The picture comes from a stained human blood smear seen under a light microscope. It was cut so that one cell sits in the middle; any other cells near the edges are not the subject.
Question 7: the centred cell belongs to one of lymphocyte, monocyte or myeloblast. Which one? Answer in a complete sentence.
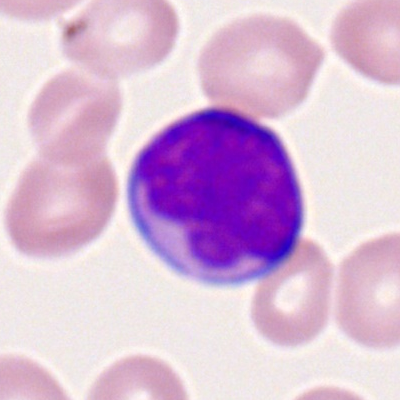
In the middle of this smear crop is a myeloblast.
